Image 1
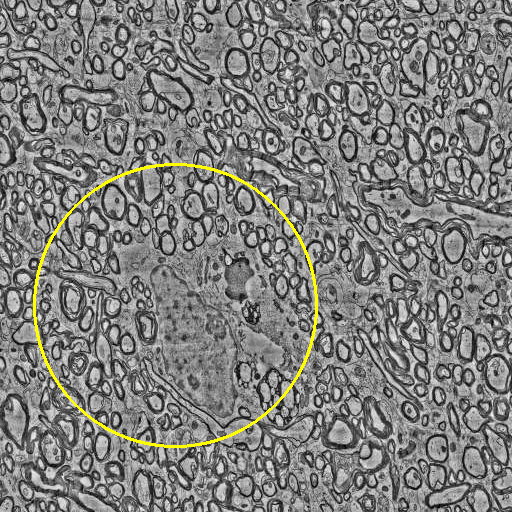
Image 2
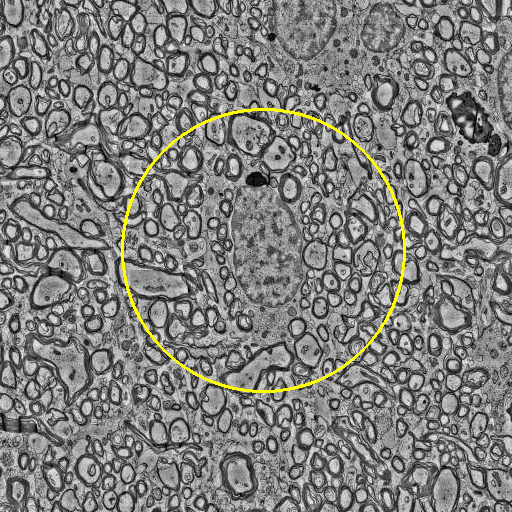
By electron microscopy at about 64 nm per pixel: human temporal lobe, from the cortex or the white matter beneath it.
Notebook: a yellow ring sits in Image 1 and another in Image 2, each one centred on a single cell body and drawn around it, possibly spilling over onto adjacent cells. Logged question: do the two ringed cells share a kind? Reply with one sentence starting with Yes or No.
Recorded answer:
No, the centre cells inside the rings of Image 1 and Image 2 are of two kinds.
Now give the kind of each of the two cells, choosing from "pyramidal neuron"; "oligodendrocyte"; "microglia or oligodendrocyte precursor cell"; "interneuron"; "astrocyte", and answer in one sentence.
The cell in the first picture is an astrocyte, and the cell in the second is an oligodendrocyte.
